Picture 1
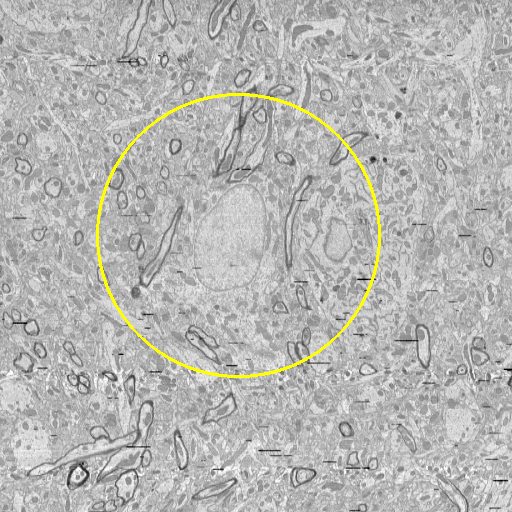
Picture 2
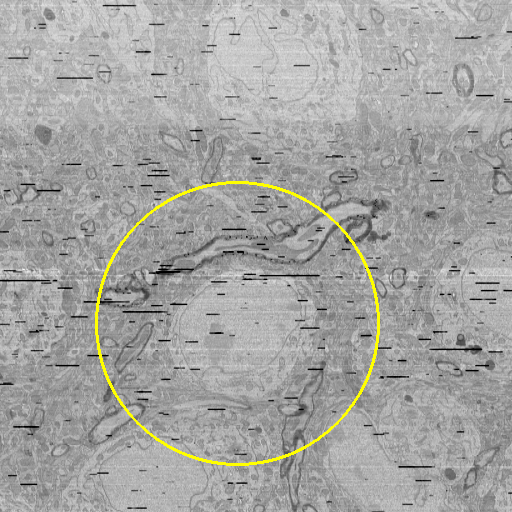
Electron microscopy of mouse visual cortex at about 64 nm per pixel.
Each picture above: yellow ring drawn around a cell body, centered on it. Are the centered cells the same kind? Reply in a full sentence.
No, the two cells are two kinds of cell.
